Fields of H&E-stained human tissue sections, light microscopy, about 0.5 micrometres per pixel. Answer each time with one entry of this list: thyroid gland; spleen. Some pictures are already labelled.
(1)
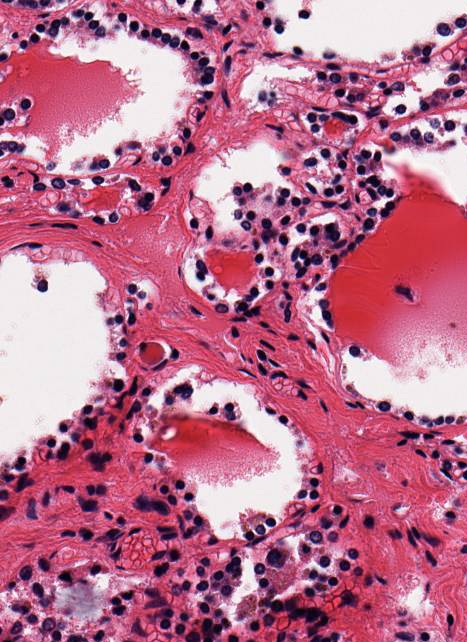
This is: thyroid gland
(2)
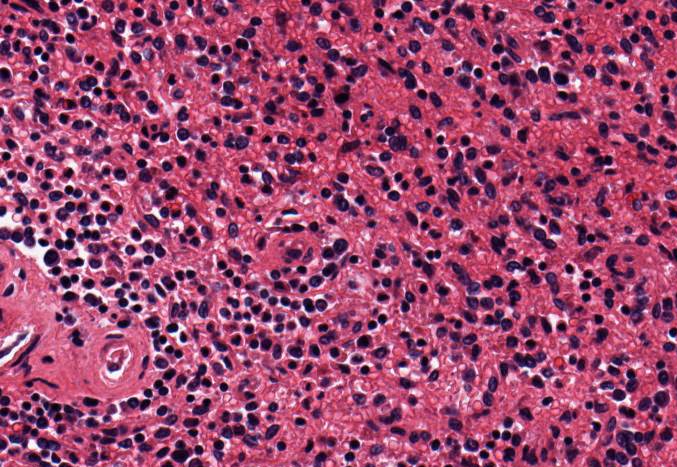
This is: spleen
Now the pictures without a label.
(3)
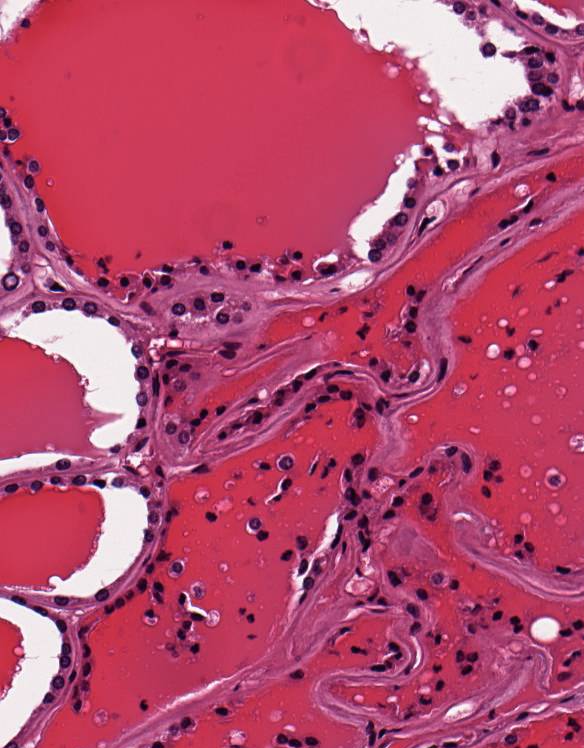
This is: thyroid gland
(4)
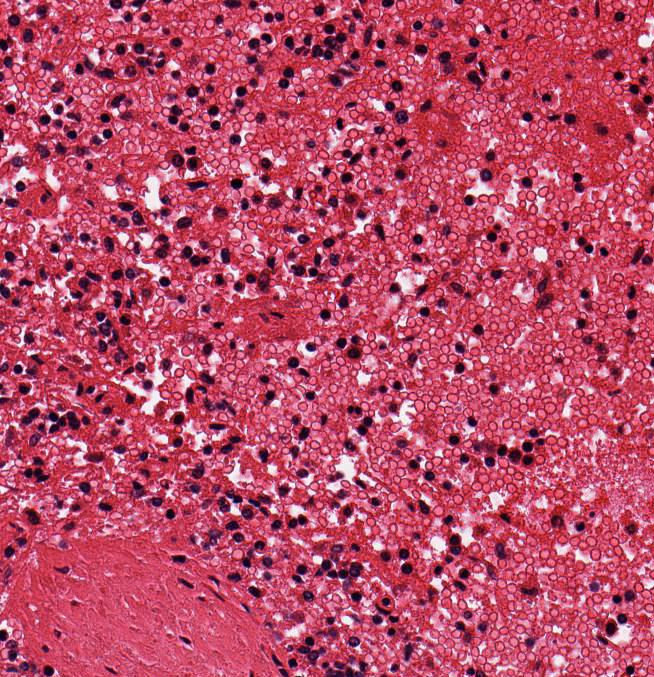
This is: spleen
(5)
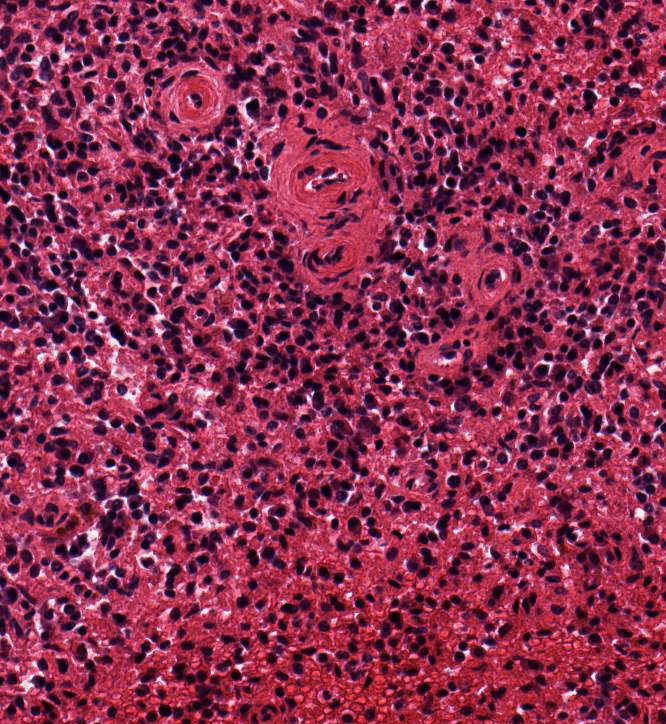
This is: spleen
